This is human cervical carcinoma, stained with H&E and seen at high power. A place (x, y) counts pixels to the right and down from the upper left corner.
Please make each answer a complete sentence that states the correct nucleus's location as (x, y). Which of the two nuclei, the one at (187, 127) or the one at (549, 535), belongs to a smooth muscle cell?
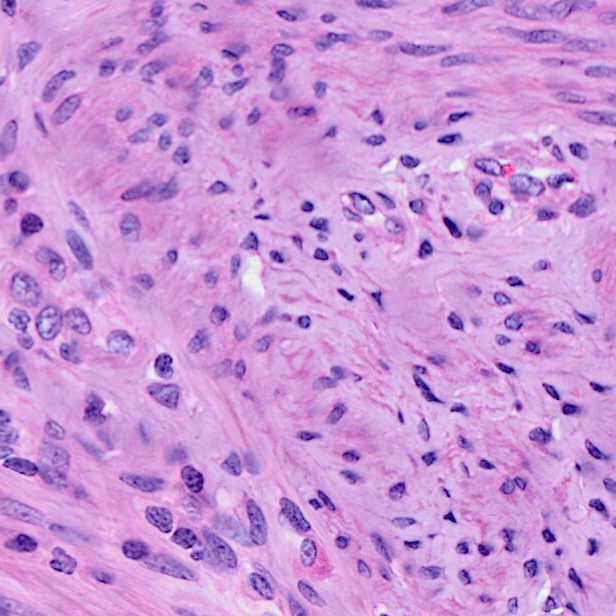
Between the pair, the nucleus at (187, 127) belongs to a smooth muscle cell.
